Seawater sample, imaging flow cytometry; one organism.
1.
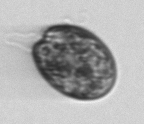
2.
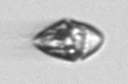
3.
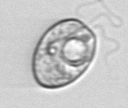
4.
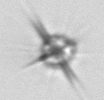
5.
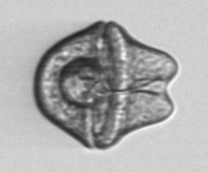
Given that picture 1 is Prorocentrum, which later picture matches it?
3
